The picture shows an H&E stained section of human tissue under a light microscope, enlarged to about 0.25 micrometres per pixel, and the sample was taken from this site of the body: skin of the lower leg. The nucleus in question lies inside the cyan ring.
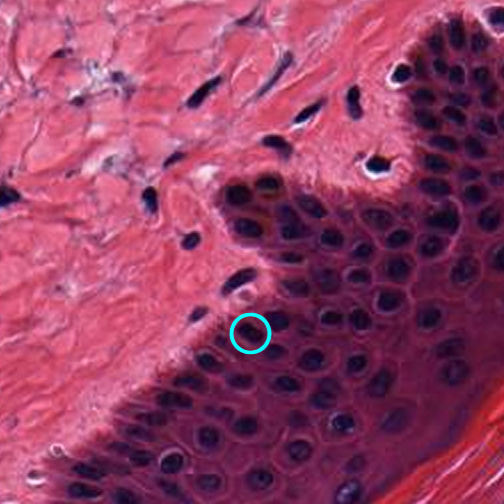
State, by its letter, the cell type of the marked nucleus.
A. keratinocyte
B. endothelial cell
A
